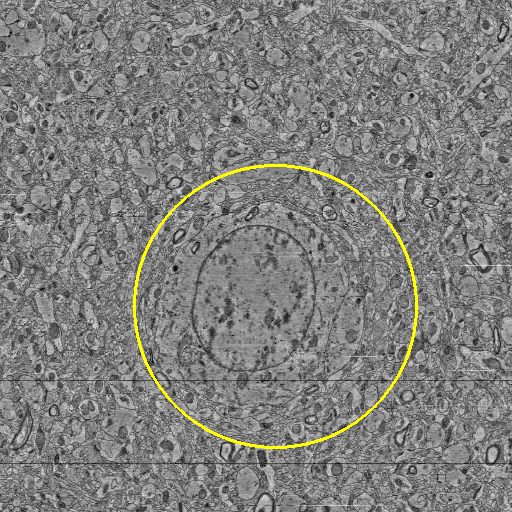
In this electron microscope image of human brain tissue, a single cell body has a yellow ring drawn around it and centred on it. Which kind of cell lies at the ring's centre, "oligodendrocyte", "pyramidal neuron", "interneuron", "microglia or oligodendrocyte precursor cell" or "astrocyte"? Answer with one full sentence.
It is a pyramidal neuron whose cell body lies at the centre of the yellow ring here.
